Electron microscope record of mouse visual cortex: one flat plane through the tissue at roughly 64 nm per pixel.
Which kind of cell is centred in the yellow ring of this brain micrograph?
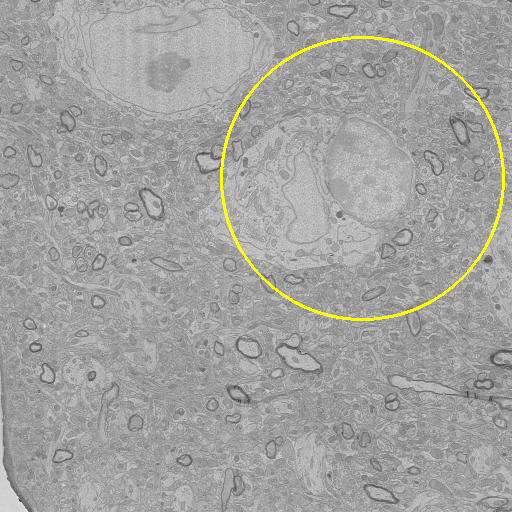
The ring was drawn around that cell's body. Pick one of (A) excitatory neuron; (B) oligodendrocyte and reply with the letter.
B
